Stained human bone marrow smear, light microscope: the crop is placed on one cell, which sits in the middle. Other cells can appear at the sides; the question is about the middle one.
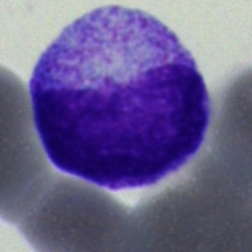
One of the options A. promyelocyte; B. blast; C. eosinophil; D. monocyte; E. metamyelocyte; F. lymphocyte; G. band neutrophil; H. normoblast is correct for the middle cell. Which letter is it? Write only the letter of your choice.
A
